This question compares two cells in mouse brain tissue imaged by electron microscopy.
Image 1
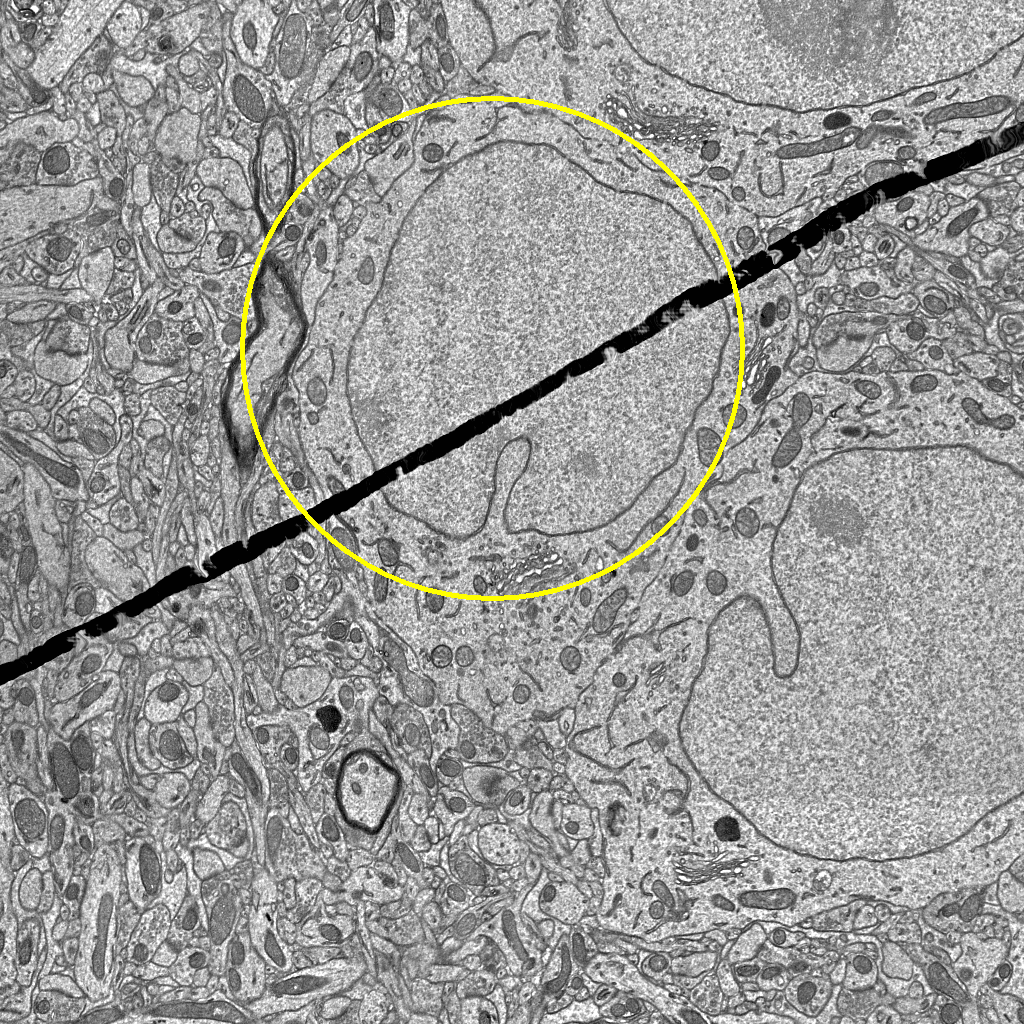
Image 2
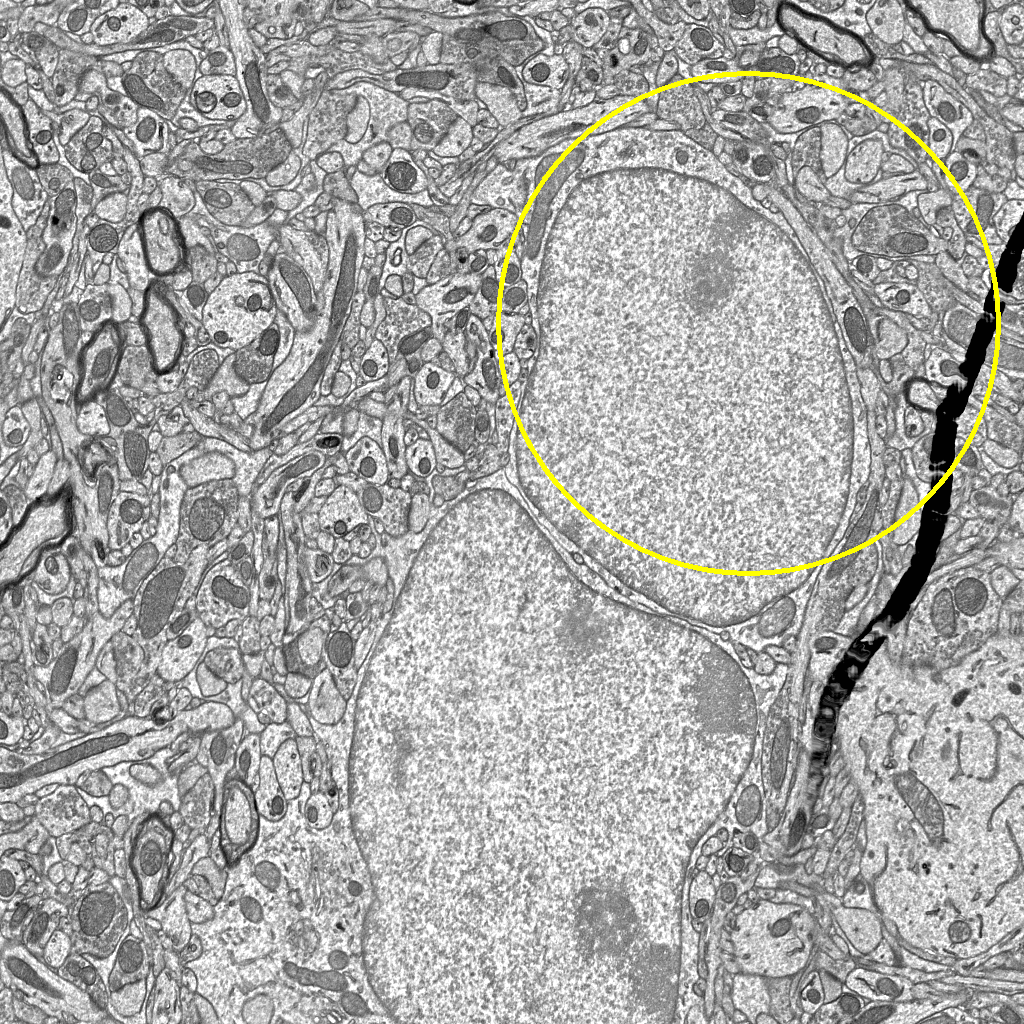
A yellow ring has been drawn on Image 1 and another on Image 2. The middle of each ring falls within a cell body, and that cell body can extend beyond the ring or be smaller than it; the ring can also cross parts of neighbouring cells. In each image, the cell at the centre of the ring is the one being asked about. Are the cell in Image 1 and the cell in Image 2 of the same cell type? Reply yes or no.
no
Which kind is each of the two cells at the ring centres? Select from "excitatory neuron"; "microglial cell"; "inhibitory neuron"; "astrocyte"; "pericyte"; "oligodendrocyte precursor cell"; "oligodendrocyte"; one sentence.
The first ring encloses an excitatory neuron; the second ring encloses an astrocyte.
